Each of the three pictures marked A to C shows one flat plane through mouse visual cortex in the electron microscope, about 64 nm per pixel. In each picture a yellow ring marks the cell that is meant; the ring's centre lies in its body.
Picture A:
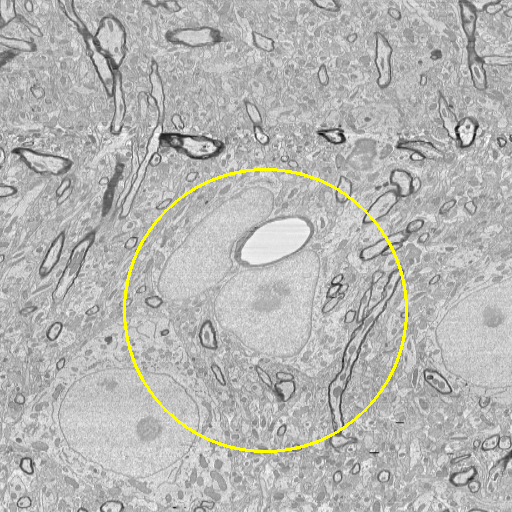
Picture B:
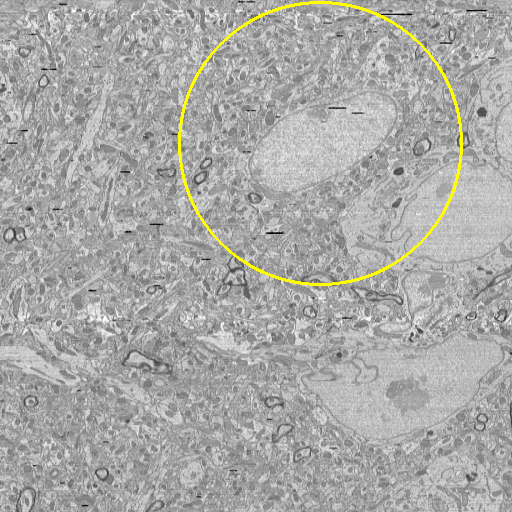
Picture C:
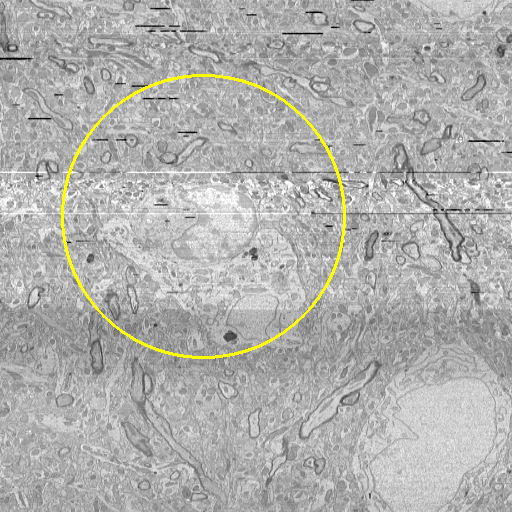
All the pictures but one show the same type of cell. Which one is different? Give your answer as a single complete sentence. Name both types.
Unlike the rest, which show astrocytes, picture C shows an oligodendrocyte.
